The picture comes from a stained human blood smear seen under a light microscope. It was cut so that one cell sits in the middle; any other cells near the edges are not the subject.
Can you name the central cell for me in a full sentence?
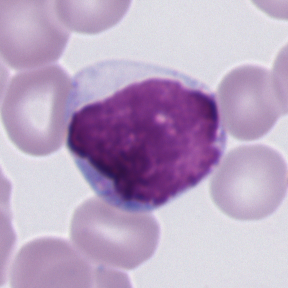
In the central position of this crop, the cell is a large granular lymphocyte.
